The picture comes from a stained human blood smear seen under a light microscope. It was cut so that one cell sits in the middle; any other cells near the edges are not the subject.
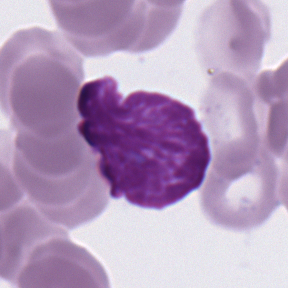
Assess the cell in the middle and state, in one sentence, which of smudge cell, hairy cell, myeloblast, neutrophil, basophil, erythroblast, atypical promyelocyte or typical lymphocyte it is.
Framed in the middle of the crop is a smudge cell.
